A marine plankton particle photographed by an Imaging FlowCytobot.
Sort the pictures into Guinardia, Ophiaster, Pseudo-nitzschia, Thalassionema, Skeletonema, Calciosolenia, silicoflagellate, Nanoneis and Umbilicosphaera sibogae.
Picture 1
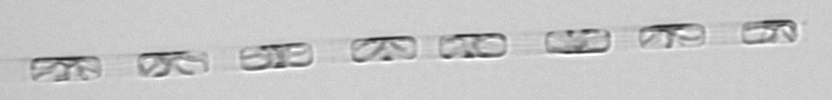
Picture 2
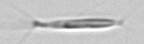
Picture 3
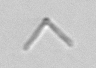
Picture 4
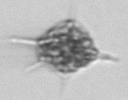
Skeletonema: 1
Calciosolenia: 2
Nanoneis: 3
Silicoflagellates: 4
